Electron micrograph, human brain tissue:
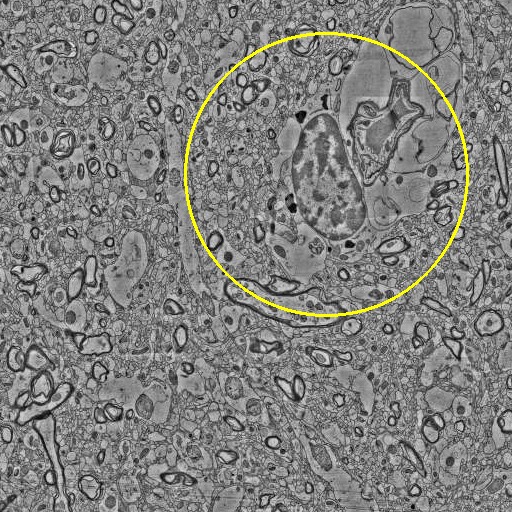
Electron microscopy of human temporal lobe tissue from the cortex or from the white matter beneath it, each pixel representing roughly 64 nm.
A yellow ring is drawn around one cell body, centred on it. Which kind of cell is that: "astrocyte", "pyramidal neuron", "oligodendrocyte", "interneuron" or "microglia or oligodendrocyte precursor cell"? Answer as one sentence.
It is a microglial cell or oligodendrocyte precursor cell at the centre of the ring.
